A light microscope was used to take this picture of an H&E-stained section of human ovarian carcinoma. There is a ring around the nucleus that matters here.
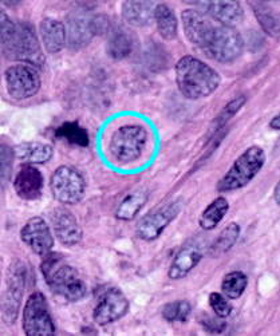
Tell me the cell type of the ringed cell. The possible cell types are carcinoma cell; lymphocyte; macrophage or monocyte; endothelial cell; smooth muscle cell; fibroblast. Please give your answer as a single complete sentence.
In this field of tissue, the ringed cell is a macrophage or monocyte.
